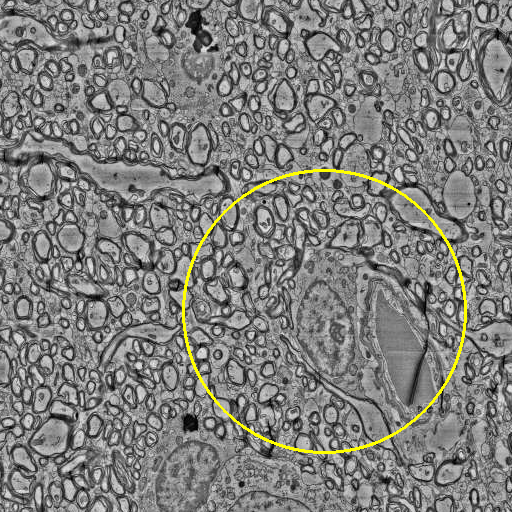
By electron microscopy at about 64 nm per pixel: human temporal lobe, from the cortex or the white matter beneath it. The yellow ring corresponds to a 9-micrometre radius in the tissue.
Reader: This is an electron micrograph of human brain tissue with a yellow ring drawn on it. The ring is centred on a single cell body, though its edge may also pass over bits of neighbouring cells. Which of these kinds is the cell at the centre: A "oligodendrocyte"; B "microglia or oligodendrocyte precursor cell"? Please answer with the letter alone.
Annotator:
A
